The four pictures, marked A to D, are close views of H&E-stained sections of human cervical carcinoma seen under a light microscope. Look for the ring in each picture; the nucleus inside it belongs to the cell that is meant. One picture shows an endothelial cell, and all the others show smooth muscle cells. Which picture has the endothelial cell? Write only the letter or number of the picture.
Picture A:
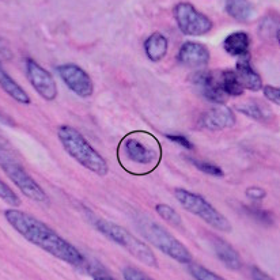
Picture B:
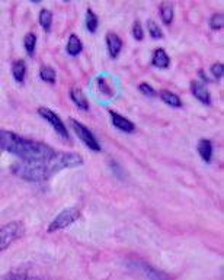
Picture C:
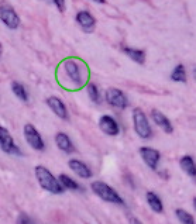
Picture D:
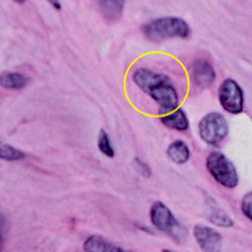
D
